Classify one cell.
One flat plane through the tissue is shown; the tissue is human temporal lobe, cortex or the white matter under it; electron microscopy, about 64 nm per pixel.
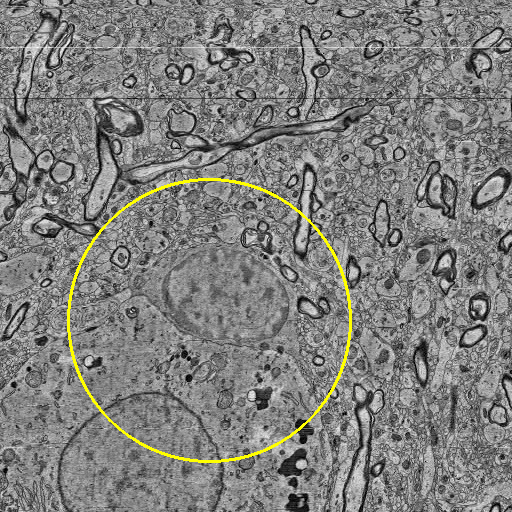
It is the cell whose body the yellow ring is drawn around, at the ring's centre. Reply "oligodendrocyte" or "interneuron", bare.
oligodendrocyte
